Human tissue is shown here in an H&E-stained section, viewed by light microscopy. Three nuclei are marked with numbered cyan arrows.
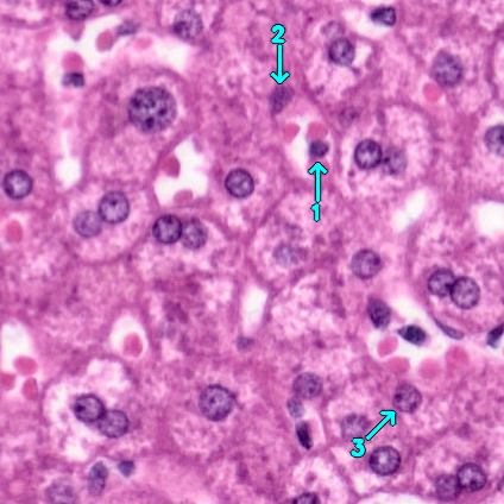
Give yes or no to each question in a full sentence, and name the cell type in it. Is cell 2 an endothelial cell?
Yes, correct, the cell with the number 2 is an endothelial cell.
